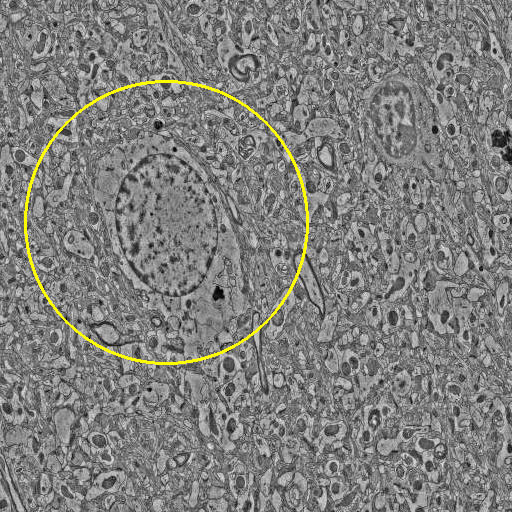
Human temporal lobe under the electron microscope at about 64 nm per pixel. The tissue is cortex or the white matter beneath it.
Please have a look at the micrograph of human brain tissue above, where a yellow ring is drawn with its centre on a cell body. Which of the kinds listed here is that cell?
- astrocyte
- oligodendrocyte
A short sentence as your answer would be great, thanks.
At the centre of the ring sits an astrocyte.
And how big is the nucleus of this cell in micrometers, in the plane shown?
The nucleus of the ringed cell is approximately 9 by 6 micrometres in this plane.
